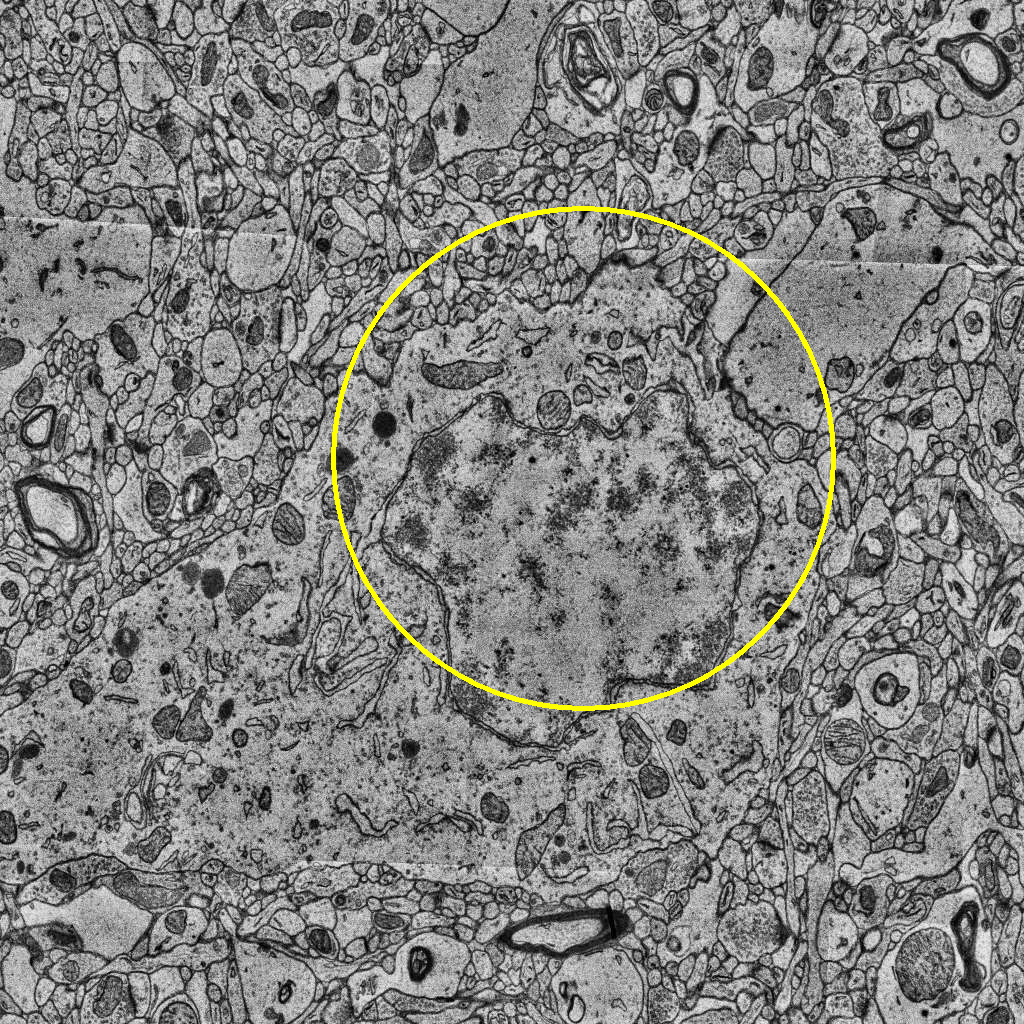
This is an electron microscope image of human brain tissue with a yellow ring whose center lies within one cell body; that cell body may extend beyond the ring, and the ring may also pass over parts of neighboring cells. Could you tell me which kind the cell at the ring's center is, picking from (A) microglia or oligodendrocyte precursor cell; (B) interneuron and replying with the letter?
B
